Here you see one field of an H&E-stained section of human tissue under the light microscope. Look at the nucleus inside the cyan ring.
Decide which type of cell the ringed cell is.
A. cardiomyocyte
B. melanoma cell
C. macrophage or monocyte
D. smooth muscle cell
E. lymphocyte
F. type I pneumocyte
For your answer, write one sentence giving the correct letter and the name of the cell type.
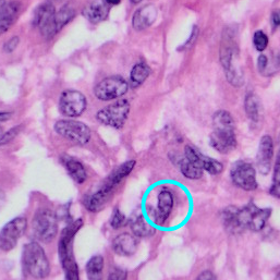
Among the choices, option B is correct, the ringed cell being a melanoma cell.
